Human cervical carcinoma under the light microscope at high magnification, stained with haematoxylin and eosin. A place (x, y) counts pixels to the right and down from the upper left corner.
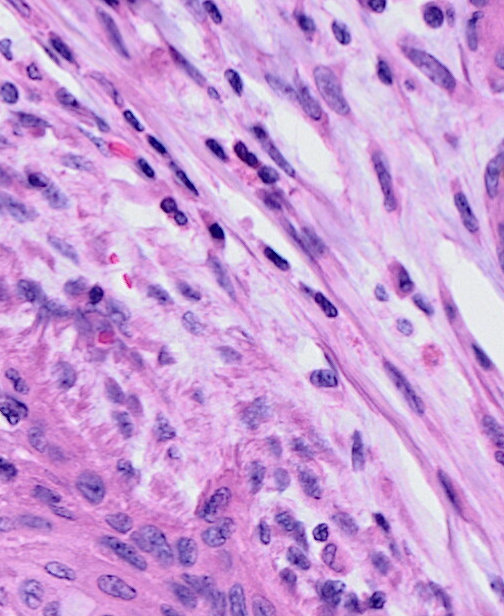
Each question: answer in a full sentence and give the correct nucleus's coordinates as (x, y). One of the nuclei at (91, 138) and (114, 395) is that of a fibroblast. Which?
The nucleus of a fibroblast lies at (114, 395), not at the other position.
